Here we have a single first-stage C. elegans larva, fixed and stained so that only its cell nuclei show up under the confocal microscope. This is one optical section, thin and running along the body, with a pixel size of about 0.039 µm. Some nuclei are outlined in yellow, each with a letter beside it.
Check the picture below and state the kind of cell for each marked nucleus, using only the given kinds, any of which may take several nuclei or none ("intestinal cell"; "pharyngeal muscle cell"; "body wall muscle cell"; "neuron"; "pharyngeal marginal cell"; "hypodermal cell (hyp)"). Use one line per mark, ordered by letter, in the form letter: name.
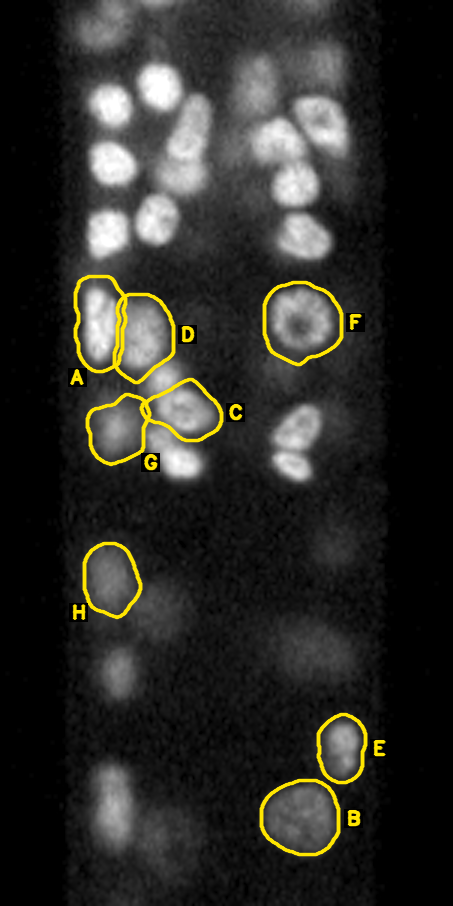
A: neuron
B: intestinal cell
C: pharyngeal muscle cell
D: pharyngeal marginal cell
E: body wall muscle cell
F: pharyngeal muscle cell
G: body wall muscle cell
H: neuron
